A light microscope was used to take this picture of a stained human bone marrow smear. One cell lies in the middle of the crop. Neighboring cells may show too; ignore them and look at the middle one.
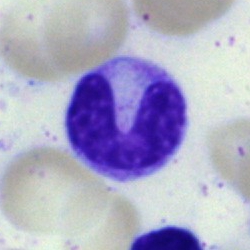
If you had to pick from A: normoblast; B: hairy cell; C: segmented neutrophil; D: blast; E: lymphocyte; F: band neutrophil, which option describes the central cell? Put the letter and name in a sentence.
The central cell is a band neutrophil, which makes option F the right answer.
